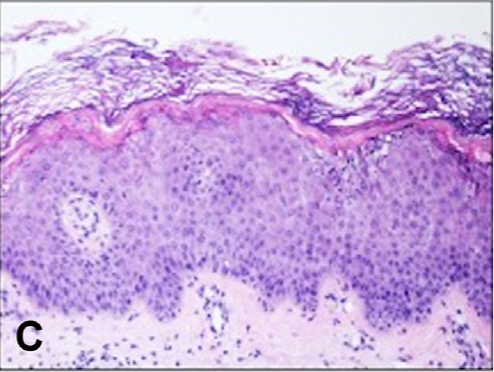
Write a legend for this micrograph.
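This is the epidermis of skin, with keratinocytes stacked above a wavy border with the pale pink dermis. The surface carries a thickened layer of layered keratin, and the uppermost living cells show purple irregular clumps of granules, some with paler, slightly cleared cytoplasm.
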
